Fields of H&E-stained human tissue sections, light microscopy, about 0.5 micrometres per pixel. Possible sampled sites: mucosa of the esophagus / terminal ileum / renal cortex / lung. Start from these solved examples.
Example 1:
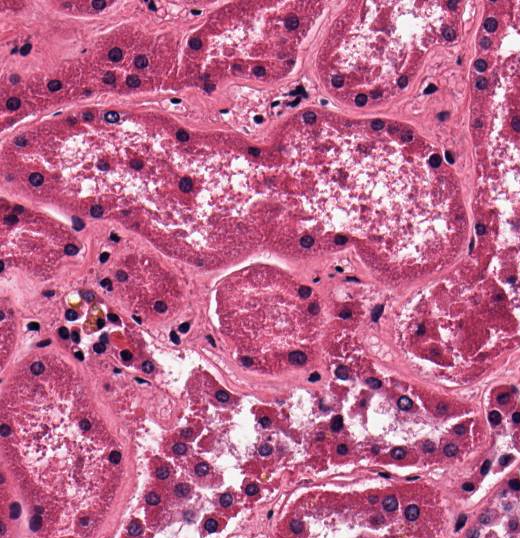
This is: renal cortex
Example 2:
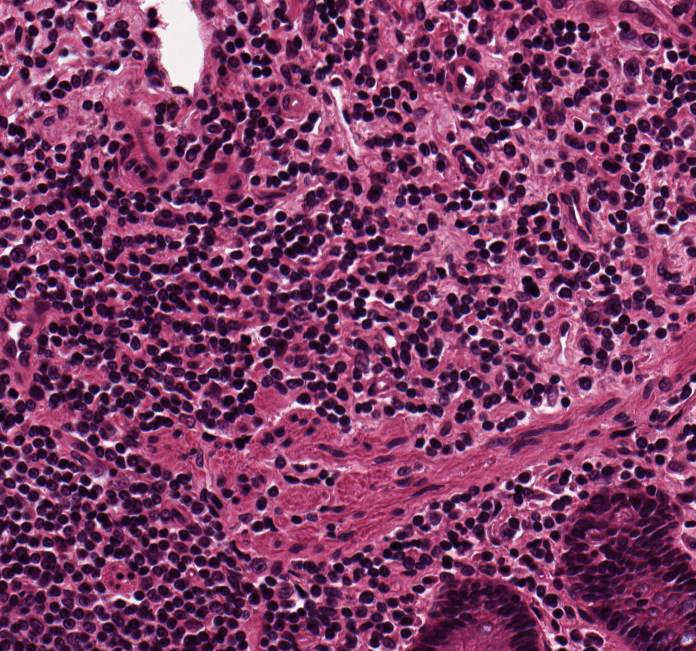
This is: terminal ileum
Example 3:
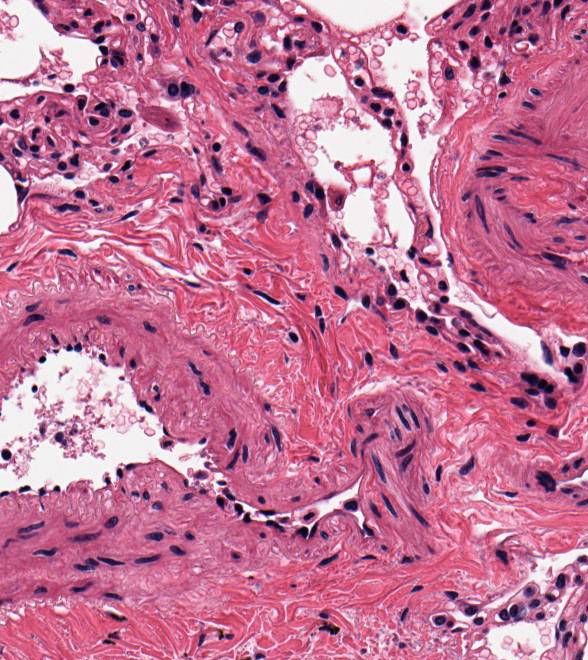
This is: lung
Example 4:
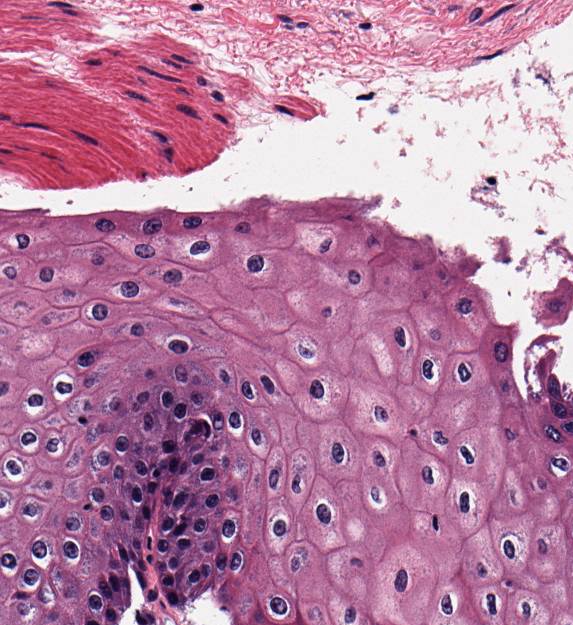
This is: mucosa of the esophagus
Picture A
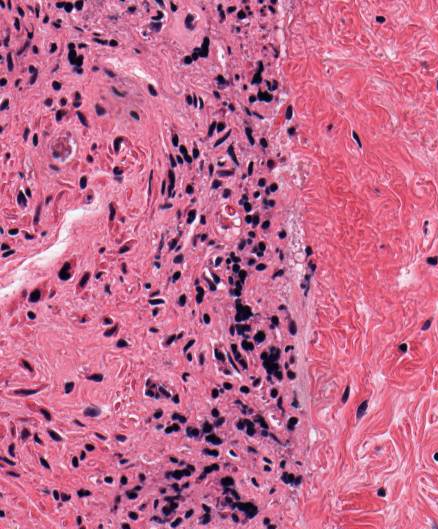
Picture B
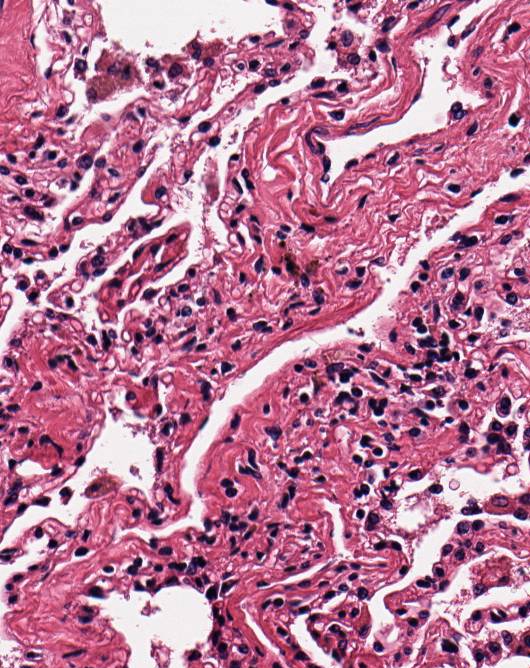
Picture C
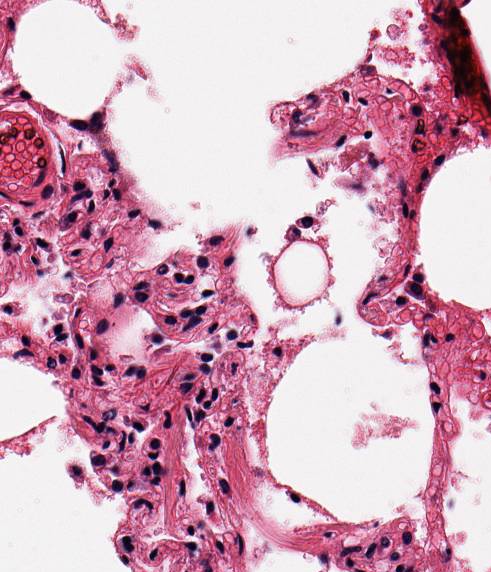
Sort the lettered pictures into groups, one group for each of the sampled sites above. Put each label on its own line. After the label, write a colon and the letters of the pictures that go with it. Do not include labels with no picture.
terminal ileum: A
lung: B, C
